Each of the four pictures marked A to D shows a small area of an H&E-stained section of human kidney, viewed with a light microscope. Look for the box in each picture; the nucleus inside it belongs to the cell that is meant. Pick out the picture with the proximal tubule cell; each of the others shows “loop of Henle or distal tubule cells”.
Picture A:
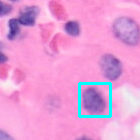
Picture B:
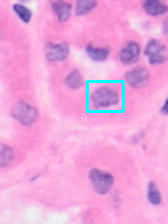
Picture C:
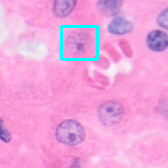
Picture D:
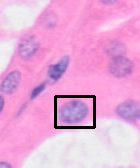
C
